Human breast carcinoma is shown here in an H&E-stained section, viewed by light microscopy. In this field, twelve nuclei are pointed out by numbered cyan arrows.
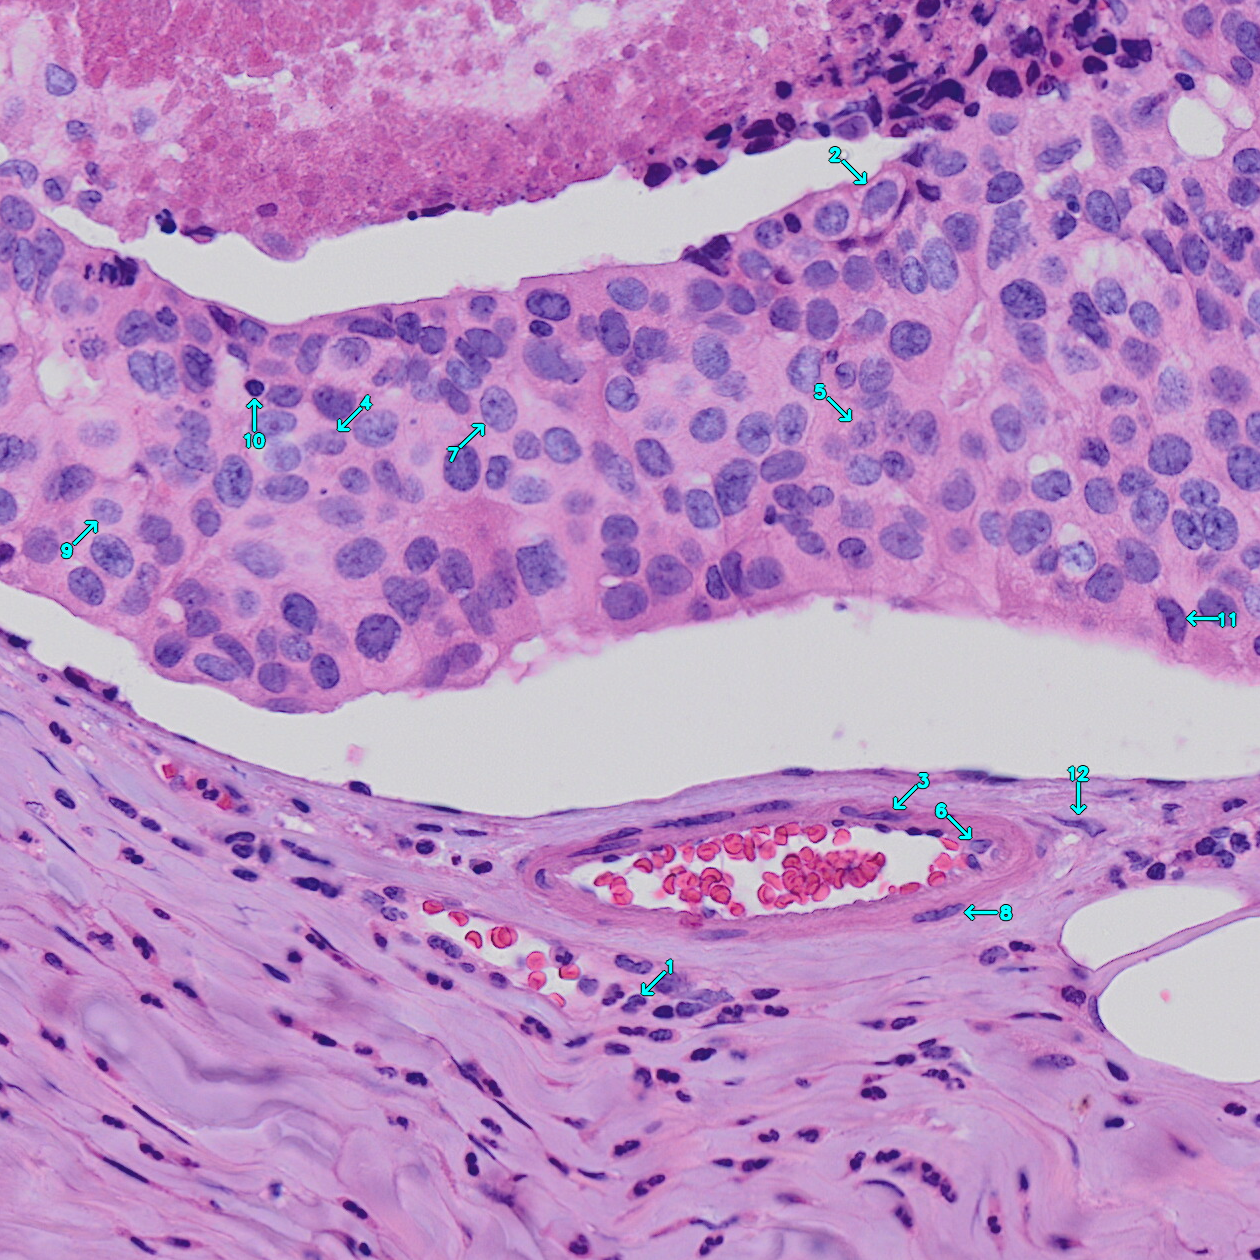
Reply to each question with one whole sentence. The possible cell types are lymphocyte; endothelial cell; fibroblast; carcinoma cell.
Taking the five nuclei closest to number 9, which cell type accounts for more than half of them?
The majority of the five nuclei closest to number 9 belong to carcinoma cells.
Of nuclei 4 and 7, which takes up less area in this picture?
With nucleus 7 about 1.5 times its size, nucleus 4 is the smaller of the two.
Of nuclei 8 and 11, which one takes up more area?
Of the two, number 11 is bigger and takes up about 1.5 times the area of number 8.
